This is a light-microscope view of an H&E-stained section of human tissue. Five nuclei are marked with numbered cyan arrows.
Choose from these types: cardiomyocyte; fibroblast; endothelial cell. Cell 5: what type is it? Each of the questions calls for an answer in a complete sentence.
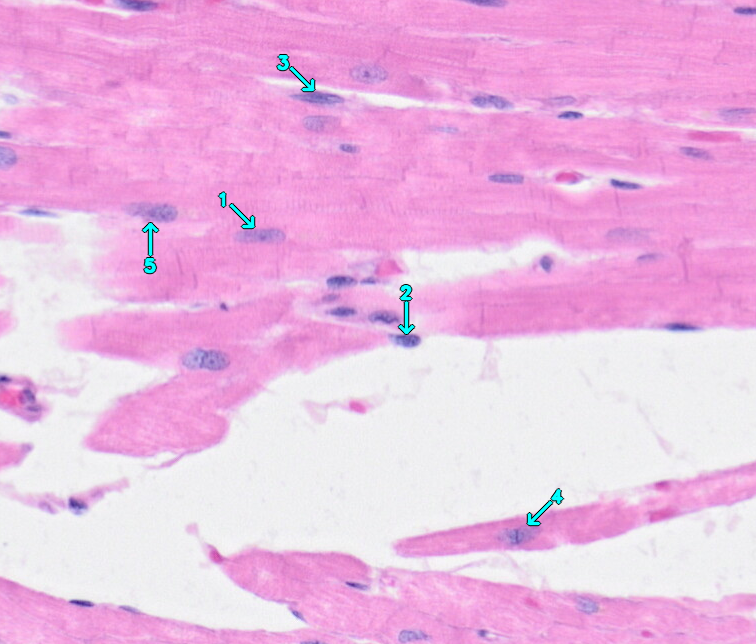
Heads up, the cell numbered 5 is a cardiomyocyte.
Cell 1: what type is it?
The numeral 1 marks a cardiomyocyte in this section.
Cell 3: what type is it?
Recognised here as an endothelial cell is the cell numbered 3.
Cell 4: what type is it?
The one numbered 4 among the marked cells is a cardiomyocyte.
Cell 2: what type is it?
The cell that bears the number 2 is a fibroblast.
